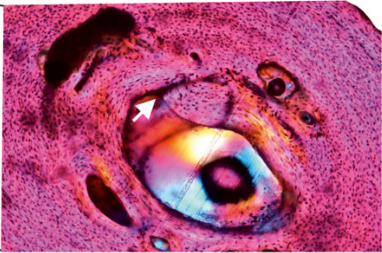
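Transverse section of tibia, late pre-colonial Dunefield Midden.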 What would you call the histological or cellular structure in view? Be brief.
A: Resorption cavities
